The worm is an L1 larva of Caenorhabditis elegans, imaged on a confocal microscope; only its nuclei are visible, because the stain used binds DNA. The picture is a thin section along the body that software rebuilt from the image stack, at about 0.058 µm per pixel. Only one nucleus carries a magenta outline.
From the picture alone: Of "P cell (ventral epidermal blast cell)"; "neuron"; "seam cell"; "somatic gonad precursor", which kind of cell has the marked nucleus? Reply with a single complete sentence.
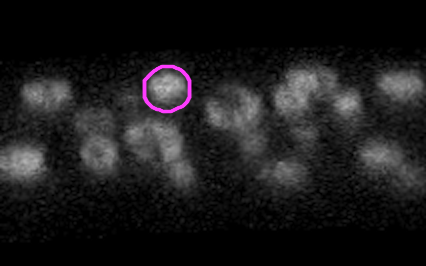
It belongs to a neuron.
